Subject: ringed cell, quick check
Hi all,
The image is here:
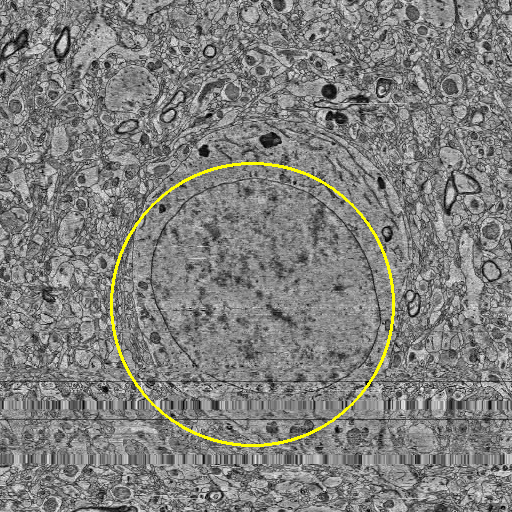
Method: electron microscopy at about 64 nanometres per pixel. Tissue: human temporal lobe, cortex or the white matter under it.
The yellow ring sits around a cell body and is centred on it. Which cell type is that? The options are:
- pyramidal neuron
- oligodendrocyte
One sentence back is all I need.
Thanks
That ringed cell is a pyramidal neuron.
